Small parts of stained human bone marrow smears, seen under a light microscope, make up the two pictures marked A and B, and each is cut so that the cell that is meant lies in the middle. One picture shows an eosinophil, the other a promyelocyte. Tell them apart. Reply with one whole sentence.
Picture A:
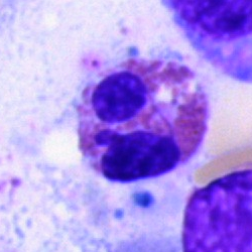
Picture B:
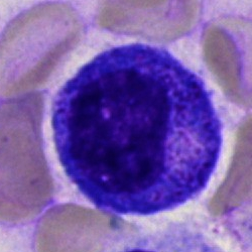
Picture A is of an eosinophil, and picture B is of a promyelocyte.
